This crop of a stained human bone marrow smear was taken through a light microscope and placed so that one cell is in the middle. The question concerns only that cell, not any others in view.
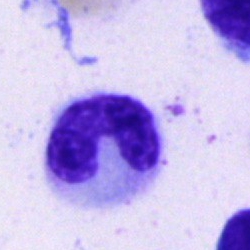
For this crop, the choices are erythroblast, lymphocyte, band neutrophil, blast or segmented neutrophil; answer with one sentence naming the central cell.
Located at the centre of the crop is a band neutrophil.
